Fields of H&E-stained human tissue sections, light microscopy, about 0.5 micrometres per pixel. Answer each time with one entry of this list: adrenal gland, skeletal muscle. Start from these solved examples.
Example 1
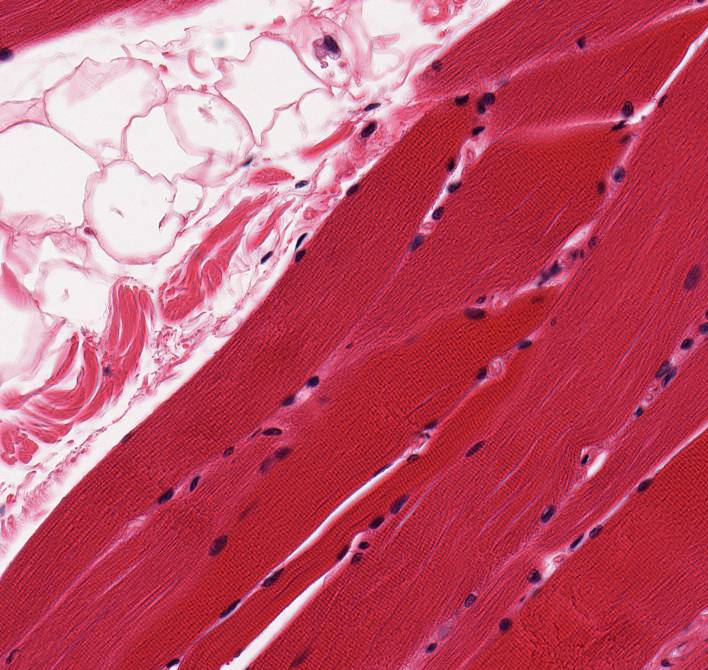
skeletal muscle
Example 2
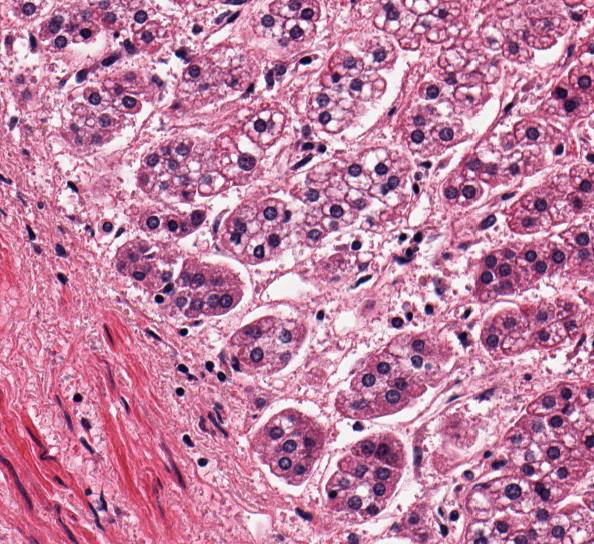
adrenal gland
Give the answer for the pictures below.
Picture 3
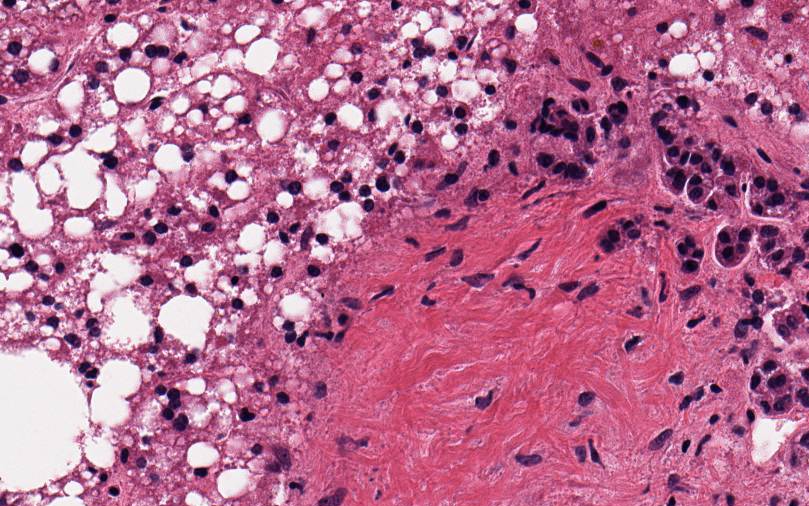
adrenal gland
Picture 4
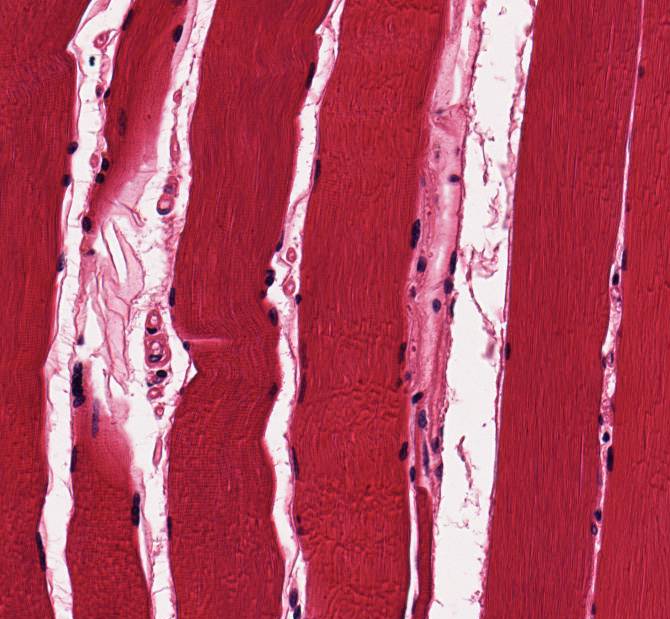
skeletal muscle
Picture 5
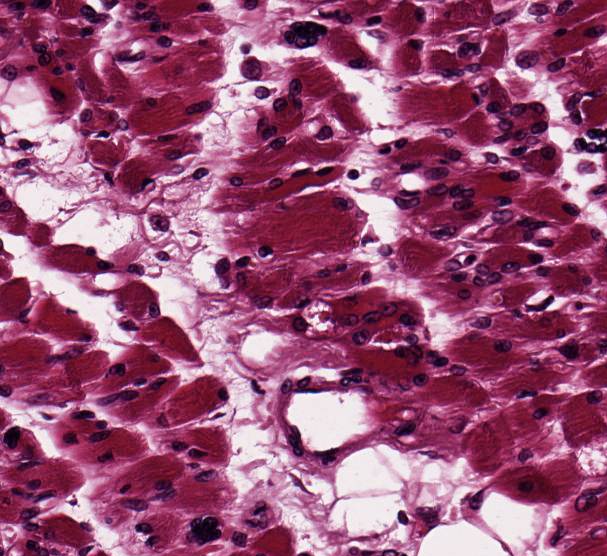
skeletal muscle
